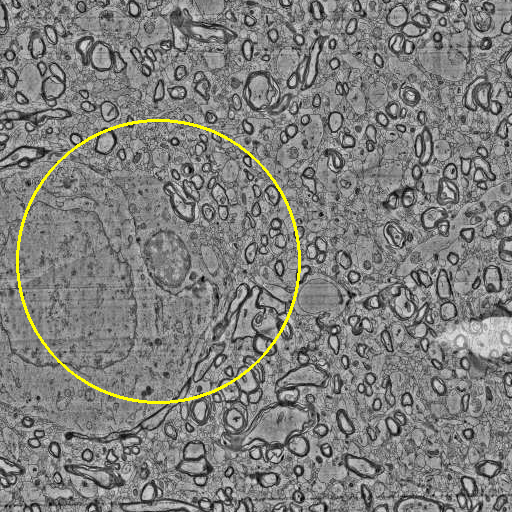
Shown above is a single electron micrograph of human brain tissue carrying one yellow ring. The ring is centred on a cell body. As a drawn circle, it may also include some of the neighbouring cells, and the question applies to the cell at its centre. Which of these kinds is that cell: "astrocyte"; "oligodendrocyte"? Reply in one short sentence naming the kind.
The cell marked by the ring is an oligodendrocyte.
